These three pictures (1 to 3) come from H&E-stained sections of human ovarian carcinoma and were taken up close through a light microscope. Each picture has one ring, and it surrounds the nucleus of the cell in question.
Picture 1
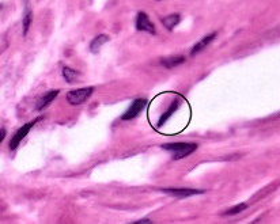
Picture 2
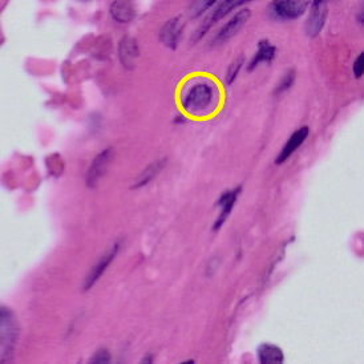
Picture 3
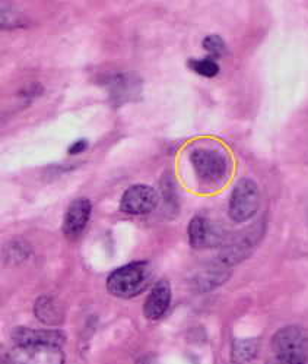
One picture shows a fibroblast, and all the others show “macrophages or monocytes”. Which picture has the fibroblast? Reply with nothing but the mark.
1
